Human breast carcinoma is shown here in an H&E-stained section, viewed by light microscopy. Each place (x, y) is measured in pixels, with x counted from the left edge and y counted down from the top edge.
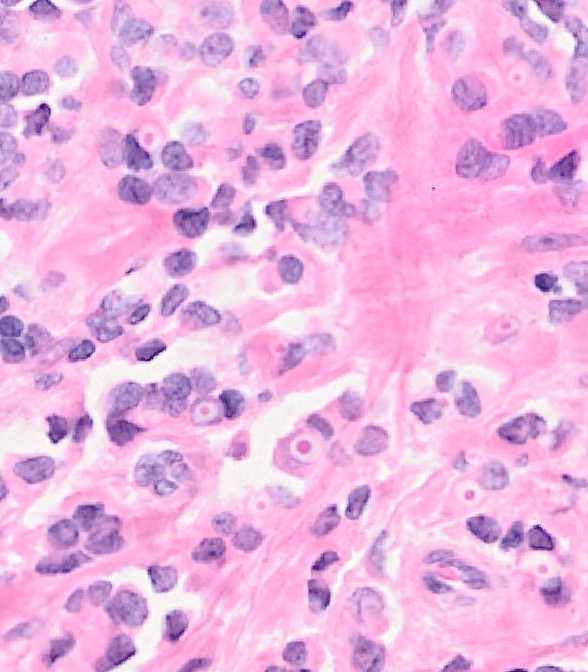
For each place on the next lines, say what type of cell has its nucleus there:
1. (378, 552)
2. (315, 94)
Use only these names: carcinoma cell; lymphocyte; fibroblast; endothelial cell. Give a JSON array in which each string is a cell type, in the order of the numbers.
["fibroblast", "carcinoma cell"]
